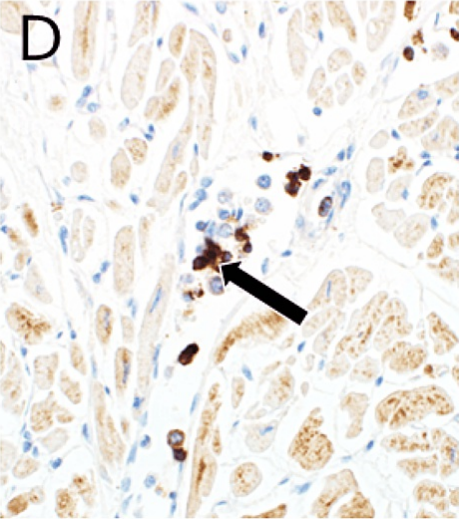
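This is heart muscle, with cardiomyocytes cut across and obliquely, their cytoplasm showing a faint granular tan to light brown colour, and blue nuclei of interstitial cells between them. In a small vessel near the centre lies a cluster of round cells, several of which are stained strongly dark brown, beside others with blue round nuclei. Further single round, intensely brown cells are scattered in the interstitium and small vessels elsewhere in the field, upper right and lower left. These strongly brown cells are small, round and compact, quite unlike the elongated muscle fibres around them.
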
